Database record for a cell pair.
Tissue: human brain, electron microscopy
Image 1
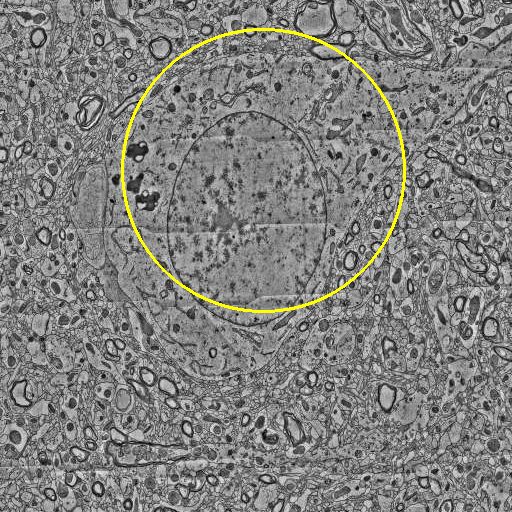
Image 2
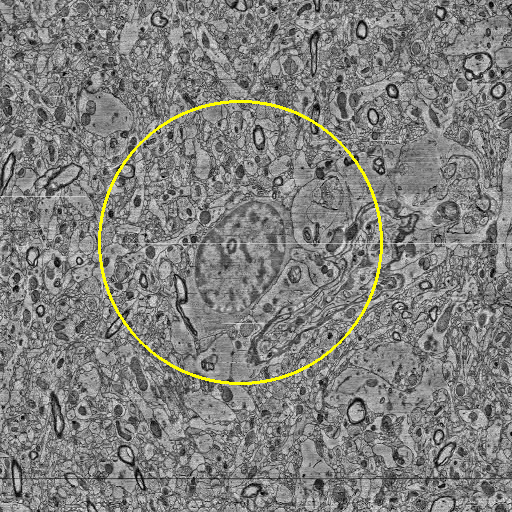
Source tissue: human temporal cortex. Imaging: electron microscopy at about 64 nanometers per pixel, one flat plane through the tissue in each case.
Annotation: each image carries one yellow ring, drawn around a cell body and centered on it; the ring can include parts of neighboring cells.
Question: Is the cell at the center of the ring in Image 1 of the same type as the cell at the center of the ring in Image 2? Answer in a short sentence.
No, the cells are of two types.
